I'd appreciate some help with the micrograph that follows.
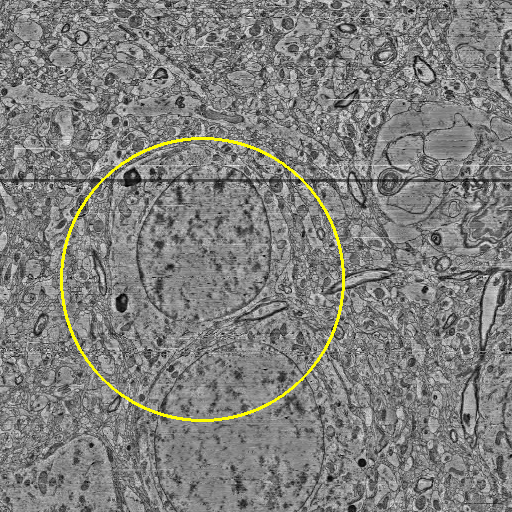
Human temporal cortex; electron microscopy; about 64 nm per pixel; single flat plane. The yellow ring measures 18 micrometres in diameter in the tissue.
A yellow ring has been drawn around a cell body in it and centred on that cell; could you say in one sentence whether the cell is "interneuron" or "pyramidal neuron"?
It is a pyramidal neuron at the centre of the ring.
